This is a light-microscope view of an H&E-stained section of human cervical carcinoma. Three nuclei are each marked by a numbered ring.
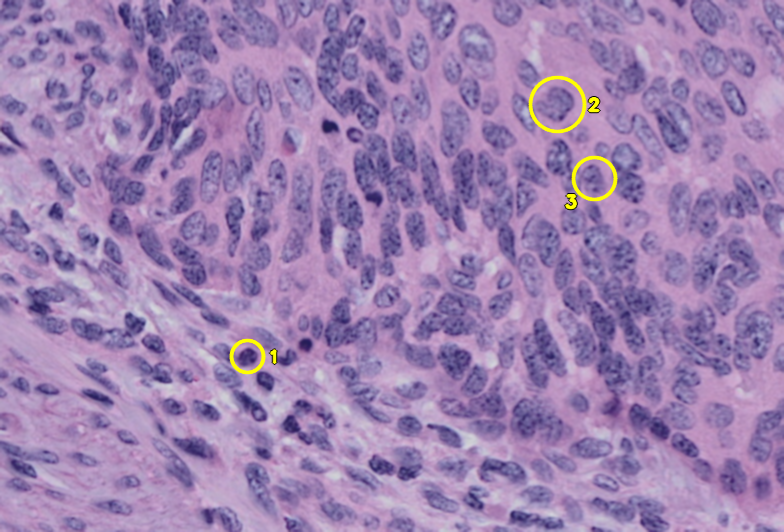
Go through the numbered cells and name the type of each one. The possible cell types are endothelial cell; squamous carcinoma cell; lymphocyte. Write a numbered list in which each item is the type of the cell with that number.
1. lymphocyte
2. squamous carcinoma cell
3. squamous carcinoma cell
